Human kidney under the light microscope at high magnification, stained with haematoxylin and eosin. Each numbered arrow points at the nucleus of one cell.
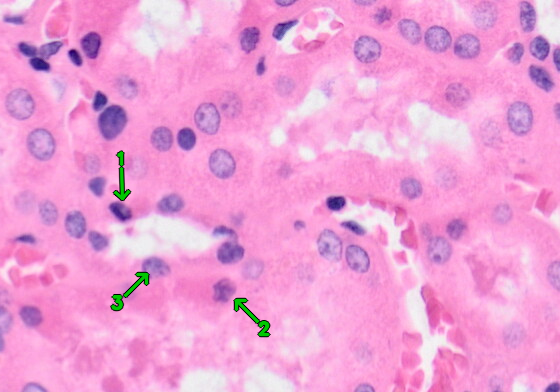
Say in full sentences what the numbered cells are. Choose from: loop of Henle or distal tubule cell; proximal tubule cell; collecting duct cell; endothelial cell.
Cell 1 is a loop of Henle or distal tubule cell, cell 2 is a proximal tubule cell and cell 3 is a loop of Henle or distal tubule cell.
